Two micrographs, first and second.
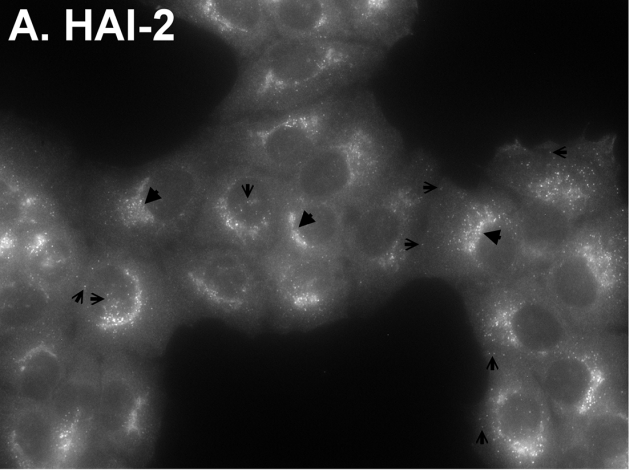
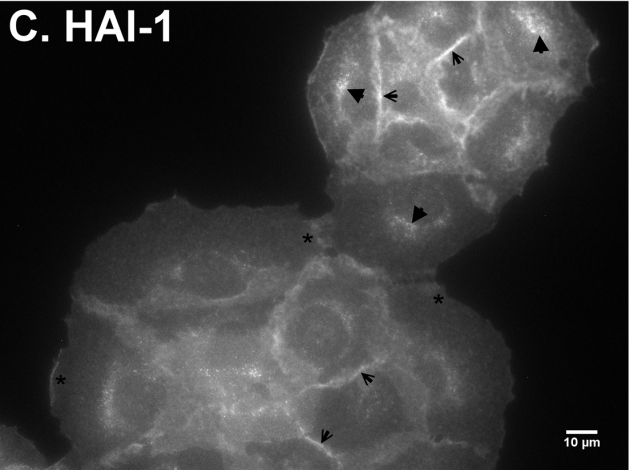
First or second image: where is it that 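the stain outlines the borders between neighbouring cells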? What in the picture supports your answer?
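First image: the stain is mostly bright dots clustered in the cytoplasm around the nuclei, with borders faint. Second image: bright continuous lines follow the boundaries between adjacent cells. So: the second image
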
